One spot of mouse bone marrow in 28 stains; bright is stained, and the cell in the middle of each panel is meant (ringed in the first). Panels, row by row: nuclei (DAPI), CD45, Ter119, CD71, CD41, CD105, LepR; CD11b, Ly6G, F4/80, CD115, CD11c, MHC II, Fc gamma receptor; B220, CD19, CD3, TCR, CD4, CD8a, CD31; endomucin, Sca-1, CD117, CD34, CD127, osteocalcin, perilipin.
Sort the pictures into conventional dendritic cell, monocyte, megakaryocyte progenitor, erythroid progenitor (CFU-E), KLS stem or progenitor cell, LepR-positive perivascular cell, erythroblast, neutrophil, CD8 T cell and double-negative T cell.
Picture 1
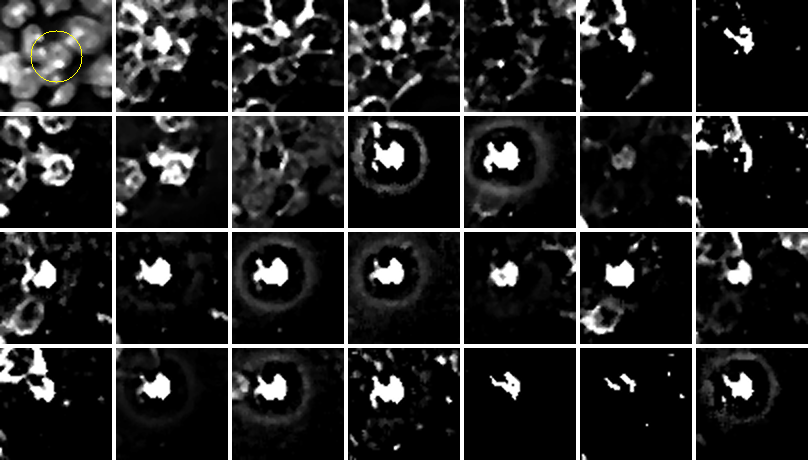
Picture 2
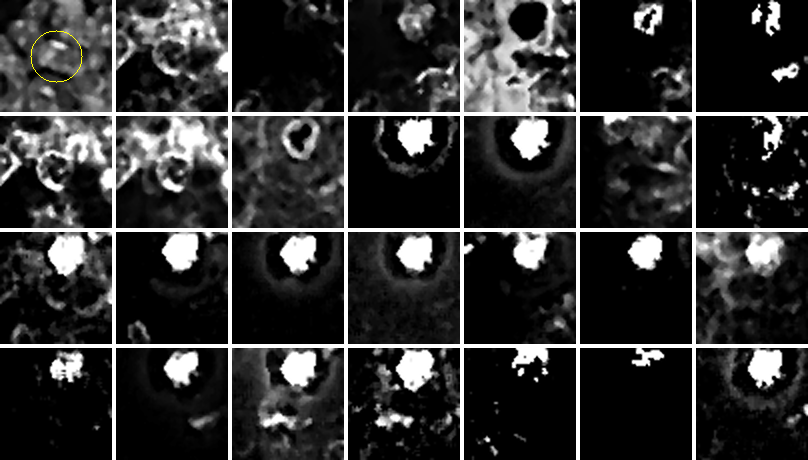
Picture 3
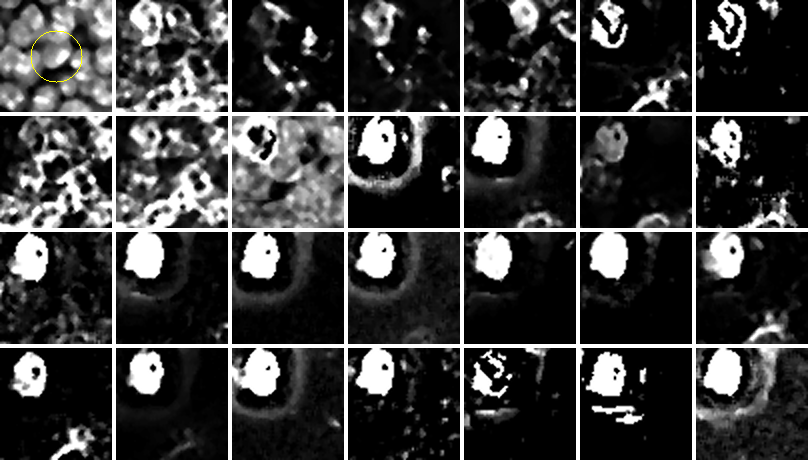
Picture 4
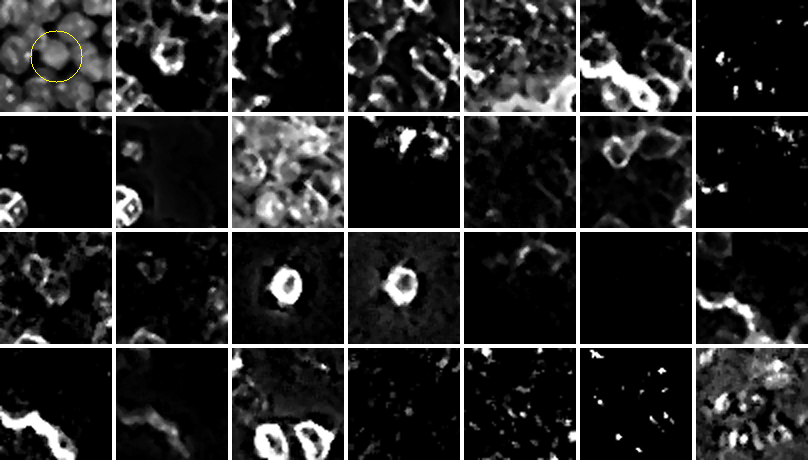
Double-negative T cells: 1, 4
Megakaryocyte progenitors: 2
Monocytes: 3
